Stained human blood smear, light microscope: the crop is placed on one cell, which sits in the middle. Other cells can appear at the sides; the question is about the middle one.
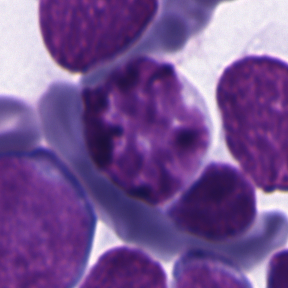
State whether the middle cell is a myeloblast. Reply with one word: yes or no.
yes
